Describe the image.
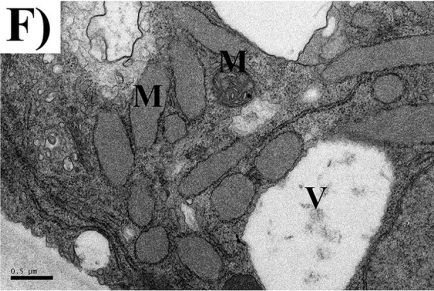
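The mitochondria are many, some elongated rods and others round or oval profiles, lying close together. Most have a uniformly dense grey matrix with very few visible cristae inside, which is unlike healthy mitochondria with their folded inner membranes. A large pale vacuole with sparse flocculent content lies at the lower right, and further pale vacuolar spaces sit at the top of the field.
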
